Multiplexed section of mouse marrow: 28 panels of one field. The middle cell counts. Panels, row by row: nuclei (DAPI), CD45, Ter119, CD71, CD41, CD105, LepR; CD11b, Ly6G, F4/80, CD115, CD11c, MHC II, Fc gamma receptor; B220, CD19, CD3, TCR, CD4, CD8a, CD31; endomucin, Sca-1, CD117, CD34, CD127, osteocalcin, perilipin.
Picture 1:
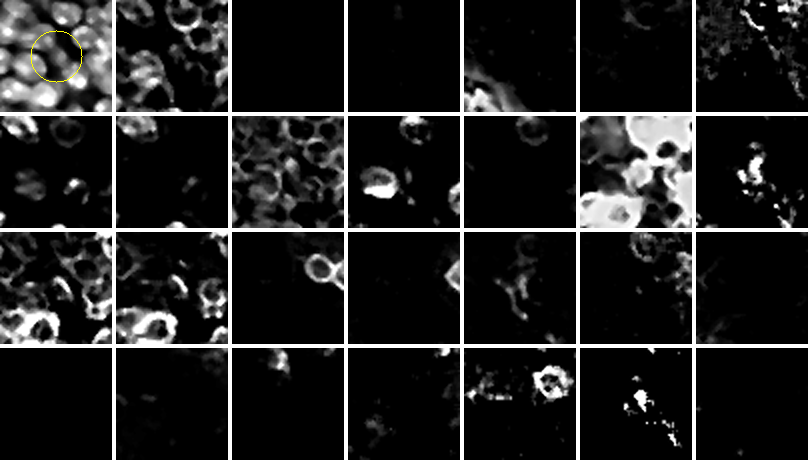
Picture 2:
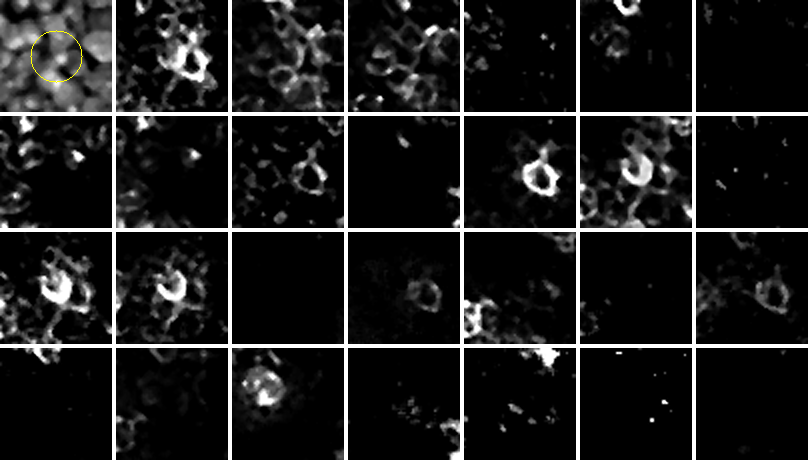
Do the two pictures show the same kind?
No: a B cell, then a conventional dendritic cell.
